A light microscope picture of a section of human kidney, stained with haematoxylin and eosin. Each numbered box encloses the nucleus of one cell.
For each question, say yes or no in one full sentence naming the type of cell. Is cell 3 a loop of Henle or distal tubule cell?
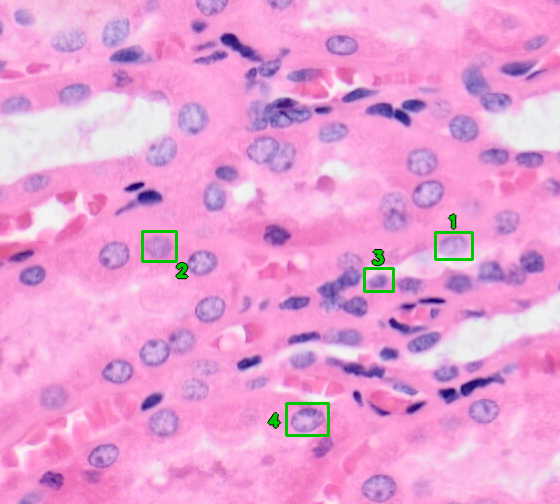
Yes, the cell at number 3 is a loop of Henle or distal tubule cell.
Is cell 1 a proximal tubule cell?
No, cell number 1 is a loop of Henle or distal tubule cell; it is not a proximal tubule cell.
